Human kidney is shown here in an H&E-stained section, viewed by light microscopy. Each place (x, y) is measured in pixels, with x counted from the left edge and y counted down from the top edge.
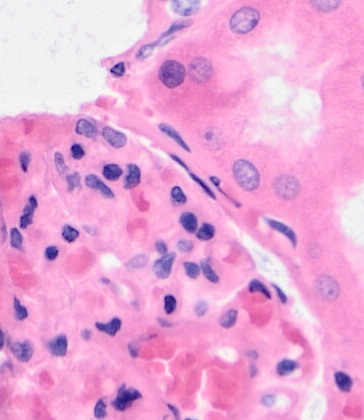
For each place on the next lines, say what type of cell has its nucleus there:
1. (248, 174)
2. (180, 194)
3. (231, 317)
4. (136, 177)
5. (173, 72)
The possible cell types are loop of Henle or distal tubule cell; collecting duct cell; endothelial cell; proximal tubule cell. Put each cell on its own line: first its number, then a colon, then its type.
1: proximal tubule cell
2: endothelial cell
3: endothelial cell
4: endothelial cell
5: proximal tubule cell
